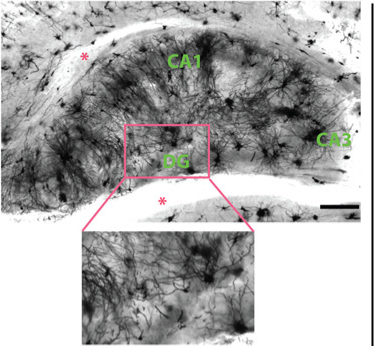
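Hippocampus with black-impregnated neurons on a pale ground. Neurons in the dentate region are sparse and scattered without an ordered row, their dendrites running in many directions and forming a tangled mesh in the enlargement. The hippocampal fields look crowded and disorganized compared with a layered arrangement.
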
